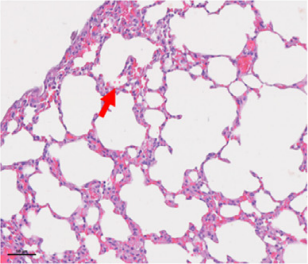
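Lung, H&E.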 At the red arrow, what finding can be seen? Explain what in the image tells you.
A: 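The red arrow points to red blood cells lying free within an air space. The tissue is made of thin alveolar walls around open spaces.
Answer: pulmonary haemorrhage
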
